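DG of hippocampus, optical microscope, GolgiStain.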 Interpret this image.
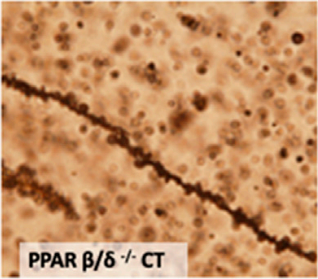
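A thin, dark brown dendrite runs diagonally from upper left to lower right across the field. Its outline is lined by small, short protrusions, the dendritic spines, giving it a finely fuzzy edge. A second, fainter dark process lies in the lower left corner. The background is scattered with many small round dark and grey deposits.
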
